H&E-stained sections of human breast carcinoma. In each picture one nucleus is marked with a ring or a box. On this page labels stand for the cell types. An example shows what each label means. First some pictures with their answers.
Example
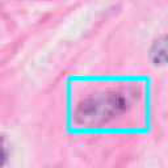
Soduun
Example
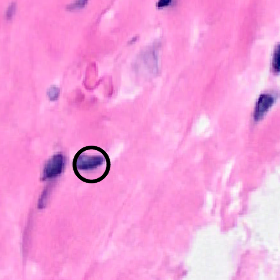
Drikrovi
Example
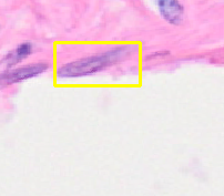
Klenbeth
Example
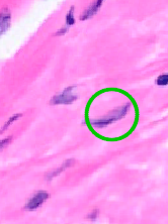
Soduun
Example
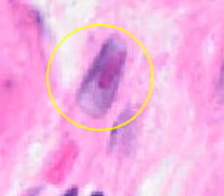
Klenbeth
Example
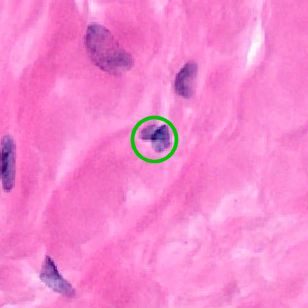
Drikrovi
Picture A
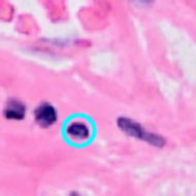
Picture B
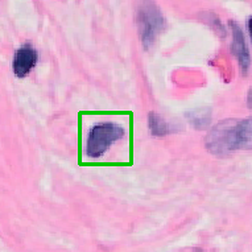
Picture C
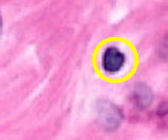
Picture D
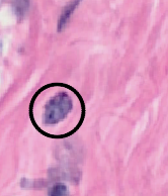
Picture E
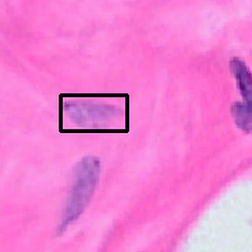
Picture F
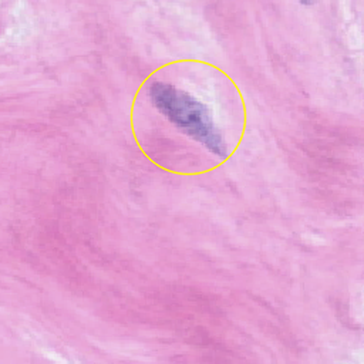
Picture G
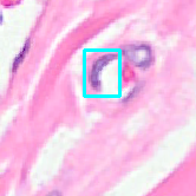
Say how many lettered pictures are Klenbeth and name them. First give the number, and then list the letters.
Count: 1 (G)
